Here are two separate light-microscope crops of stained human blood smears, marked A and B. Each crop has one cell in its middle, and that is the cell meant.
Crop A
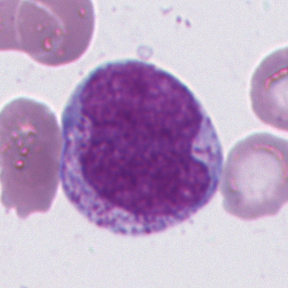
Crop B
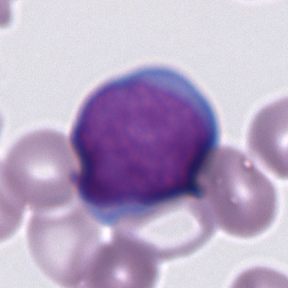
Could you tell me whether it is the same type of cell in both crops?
no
